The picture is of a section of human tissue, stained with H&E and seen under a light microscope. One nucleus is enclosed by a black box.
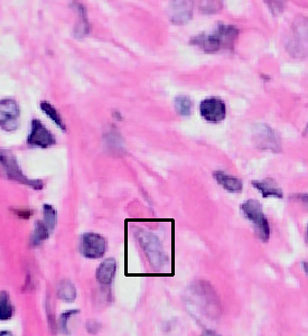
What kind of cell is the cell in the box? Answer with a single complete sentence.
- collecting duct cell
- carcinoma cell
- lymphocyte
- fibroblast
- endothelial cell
Cytologically, the cell in the box is to be regarded as an endothelial cell.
